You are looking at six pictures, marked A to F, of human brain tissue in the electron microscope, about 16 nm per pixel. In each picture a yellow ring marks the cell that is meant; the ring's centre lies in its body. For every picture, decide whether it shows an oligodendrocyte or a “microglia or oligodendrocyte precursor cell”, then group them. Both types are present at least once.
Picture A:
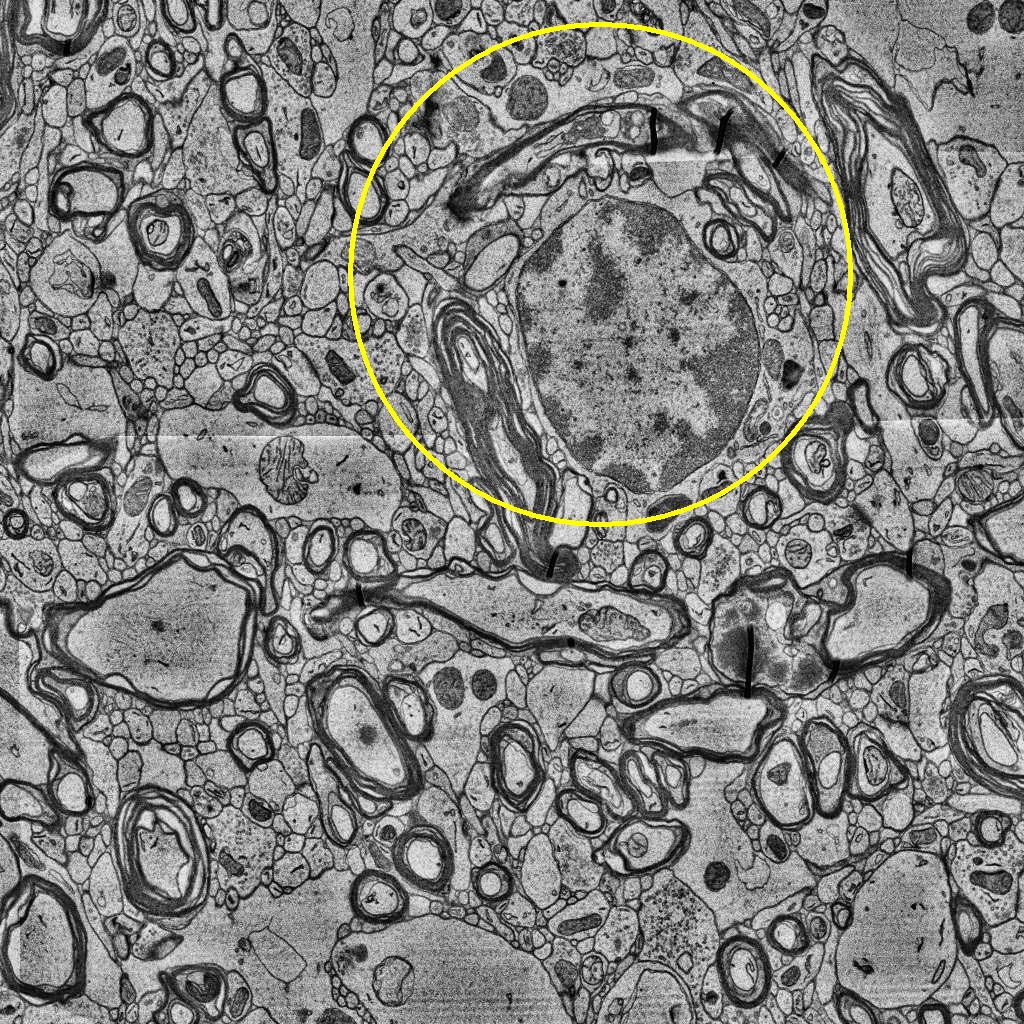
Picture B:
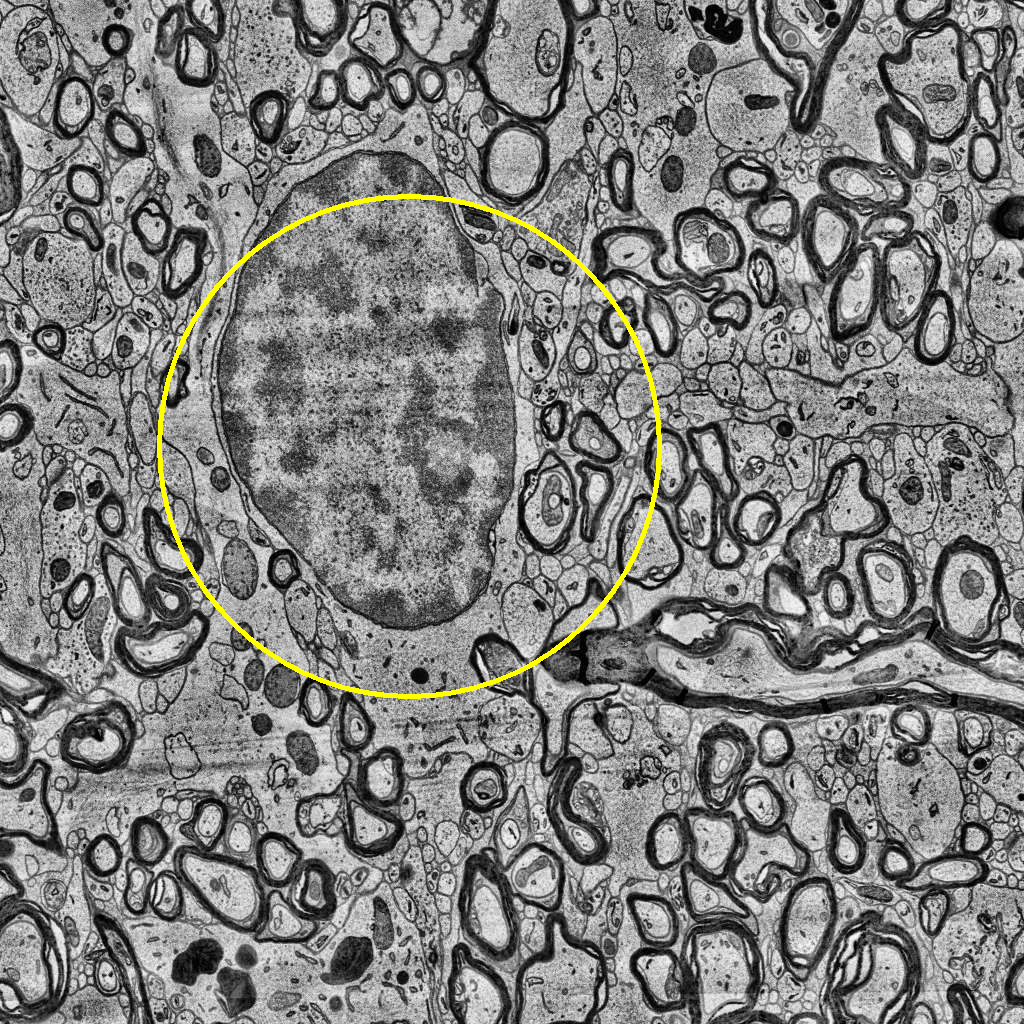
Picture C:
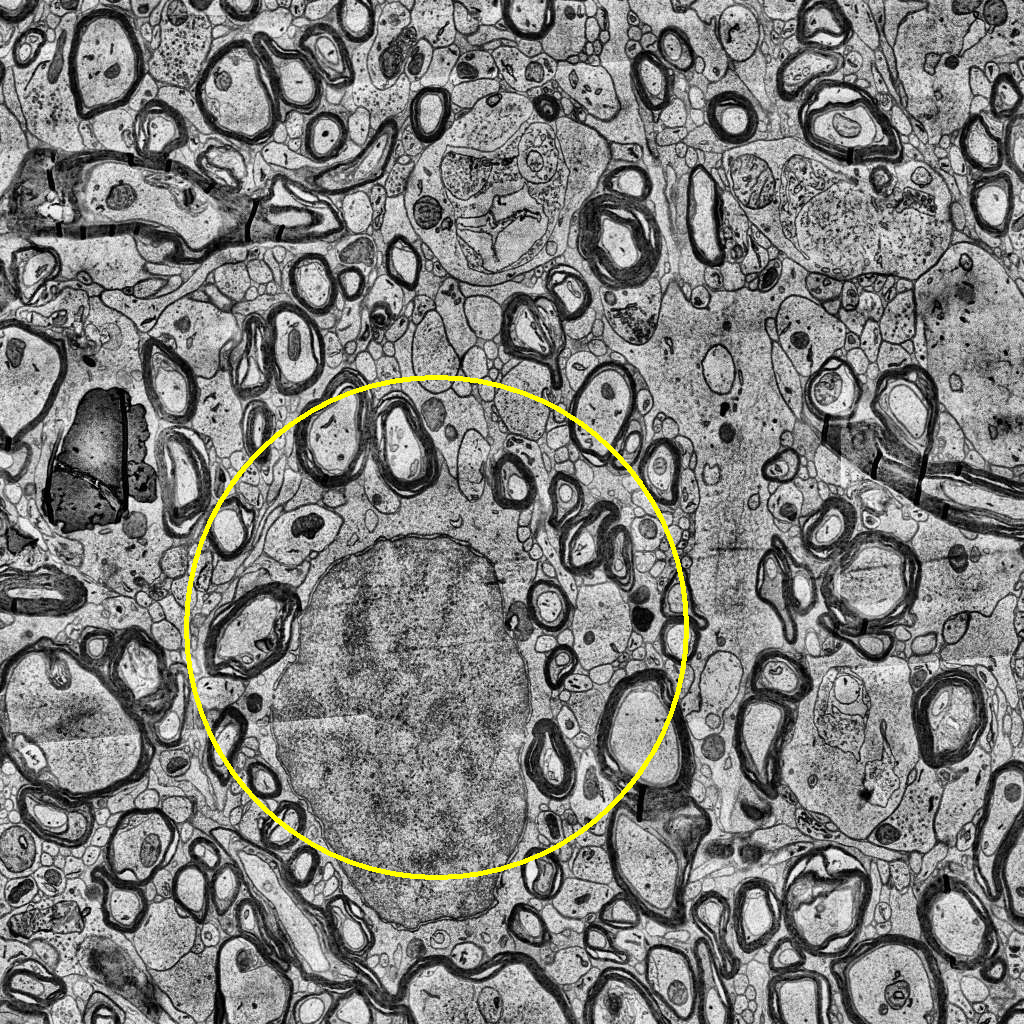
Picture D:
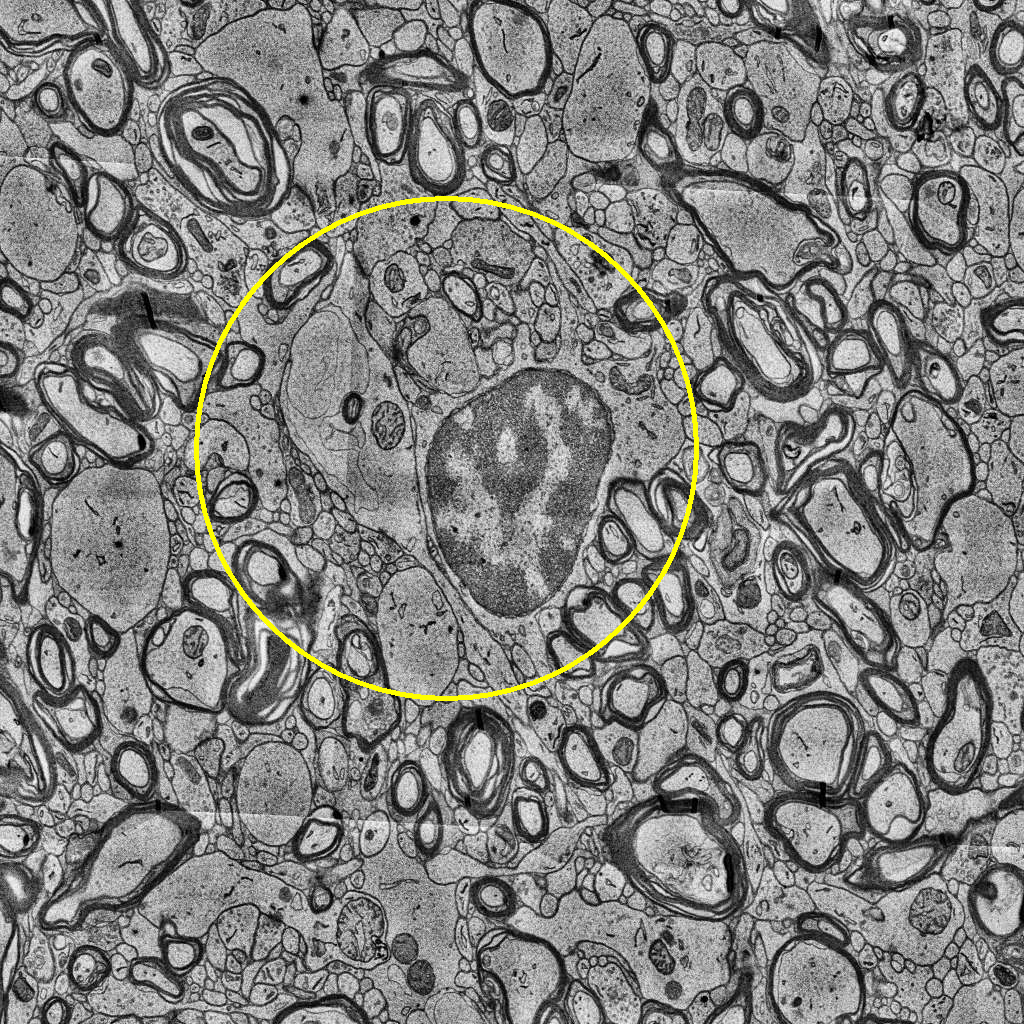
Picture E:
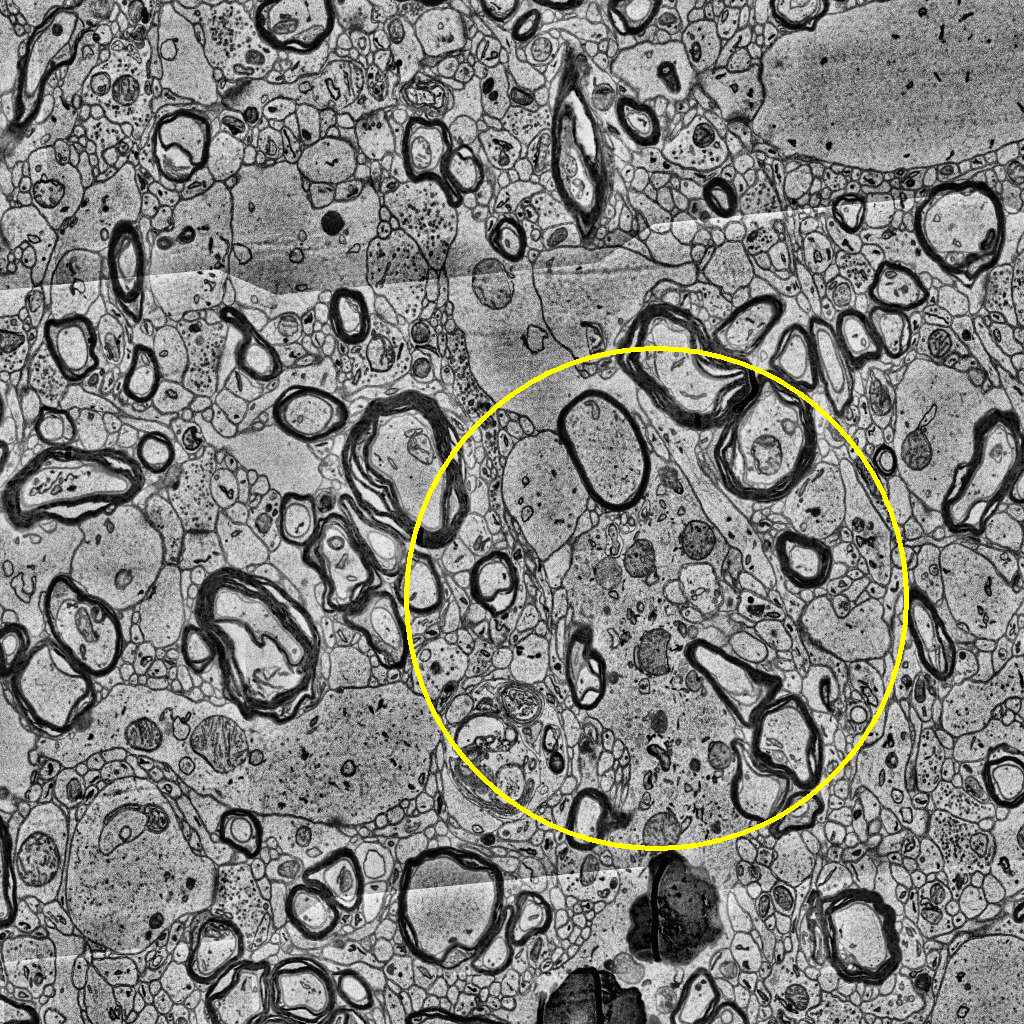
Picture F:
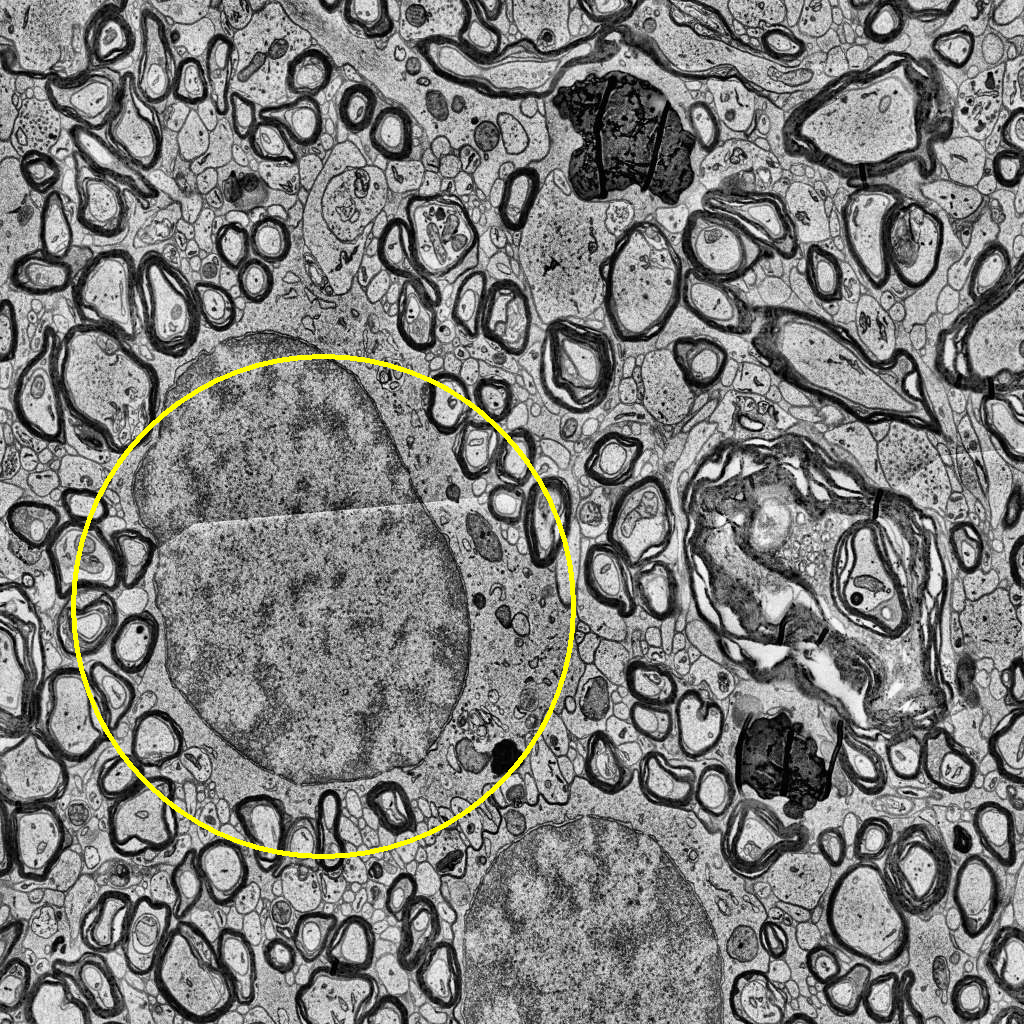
Pictures C, E and F show oligodendrocytes; pictures A, B and D show “microglia or oligodendrocyte precursor cells”.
